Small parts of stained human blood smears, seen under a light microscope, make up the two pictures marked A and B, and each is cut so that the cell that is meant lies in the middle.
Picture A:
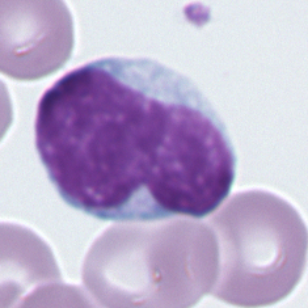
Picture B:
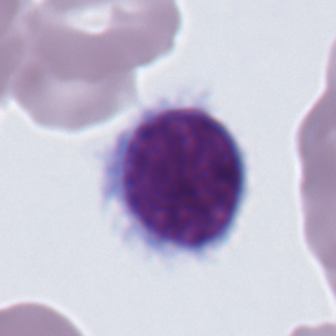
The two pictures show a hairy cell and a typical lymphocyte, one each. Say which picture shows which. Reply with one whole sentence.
Picture A shows a typical lymphocyte and picture B shows a hairy cell.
